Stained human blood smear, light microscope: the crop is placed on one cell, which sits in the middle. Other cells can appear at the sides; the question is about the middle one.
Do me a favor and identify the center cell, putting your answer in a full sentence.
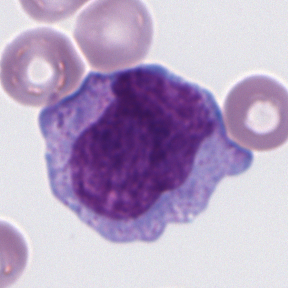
To answer, the cell in the center of the crop is an atypical promyelocyte.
